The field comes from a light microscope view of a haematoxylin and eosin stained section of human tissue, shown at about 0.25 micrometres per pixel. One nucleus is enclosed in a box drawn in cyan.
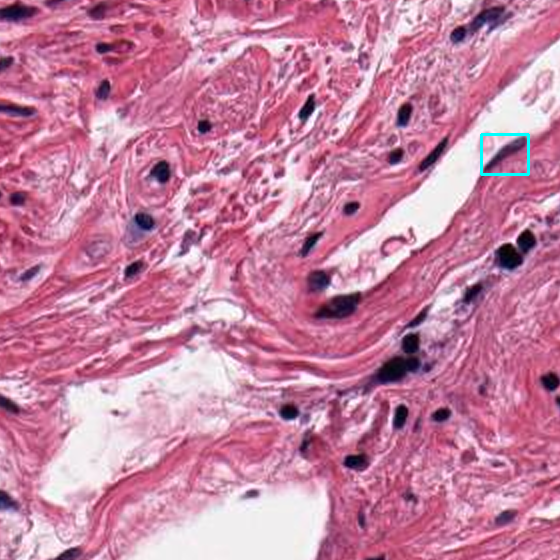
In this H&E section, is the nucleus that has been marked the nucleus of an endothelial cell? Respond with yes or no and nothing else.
yes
